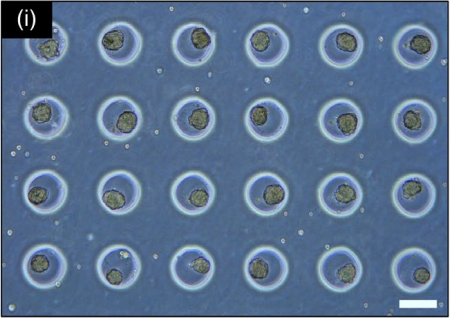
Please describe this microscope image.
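Small, compact, rounded cell aggregates are seen, one in each of many circular wells set in a regular grid. Each aggregate is much smaller than its well and is often off-centre, resting near the well rim. The aggregates appear granular and grey-brown, with their individual cells packed too closely to be told apart. Each well is bordered by a bright ring. A few isolated round single cells lie scattered on the surface between the wells.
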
